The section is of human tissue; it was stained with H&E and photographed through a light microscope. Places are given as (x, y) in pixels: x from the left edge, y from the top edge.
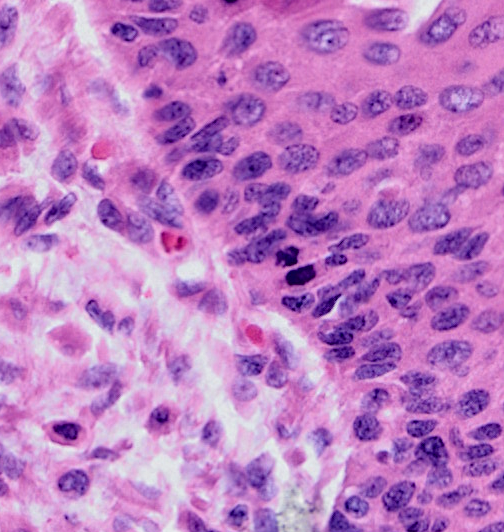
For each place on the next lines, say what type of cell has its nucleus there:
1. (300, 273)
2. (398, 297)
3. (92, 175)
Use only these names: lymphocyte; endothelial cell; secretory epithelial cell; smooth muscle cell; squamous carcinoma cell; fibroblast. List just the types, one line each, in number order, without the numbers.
squamous carcinoma cell
squamous carcinoma cell
endothelial cell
